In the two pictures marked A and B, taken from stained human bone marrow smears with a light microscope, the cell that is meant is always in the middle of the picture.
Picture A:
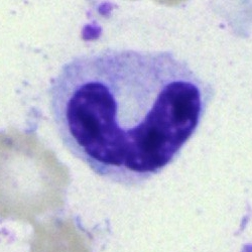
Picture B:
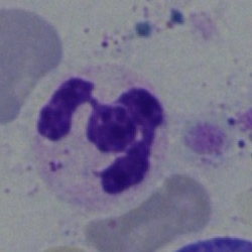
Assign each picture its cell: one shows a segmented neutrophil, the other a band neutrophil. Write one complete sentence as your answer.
Picture B shows a segmented neutrophil, while picture A shows a band neutrophil.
